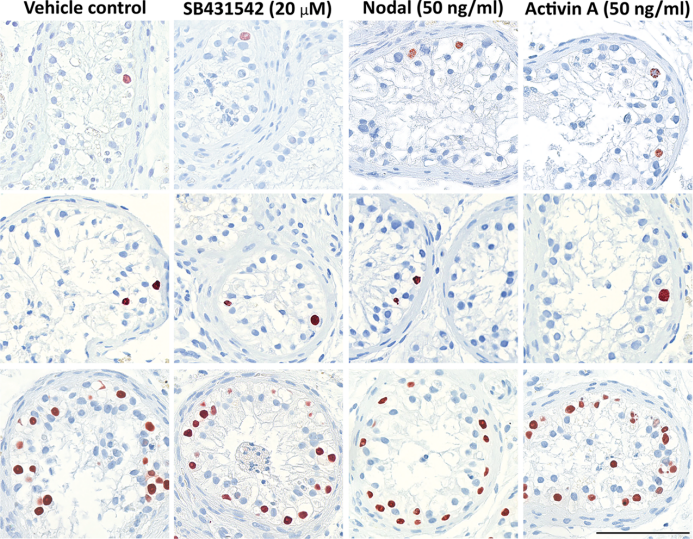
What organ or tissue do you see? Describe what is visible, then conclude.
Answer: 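Round tubules in cross section, each bounded by a thin layer of flattened, elongated cells. Cells with round nuclei line the inner edge of the tubules. Loose connective tissue with spindle-shaped nuclei lies between the tubules. That points to this answer: testis.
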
